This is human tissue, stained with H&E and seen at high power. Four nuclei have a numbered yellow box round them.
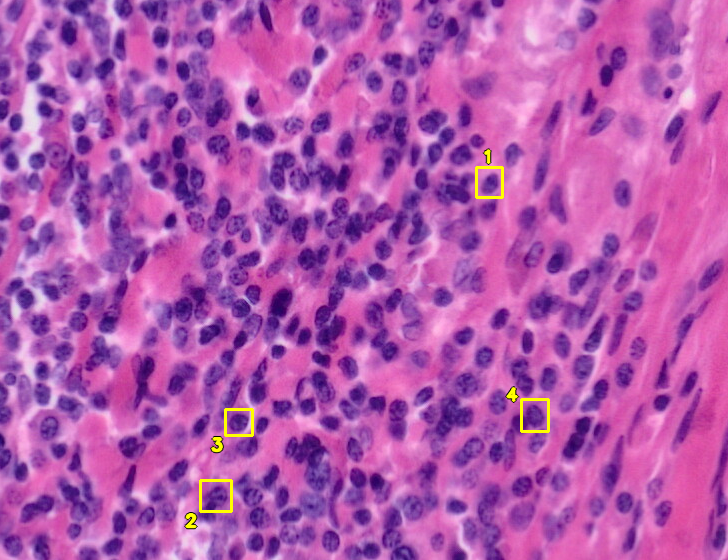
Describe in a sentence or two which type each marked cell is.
Cell 1 is a mast cell. Cells 2, 3 and 4 are plasma cells.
